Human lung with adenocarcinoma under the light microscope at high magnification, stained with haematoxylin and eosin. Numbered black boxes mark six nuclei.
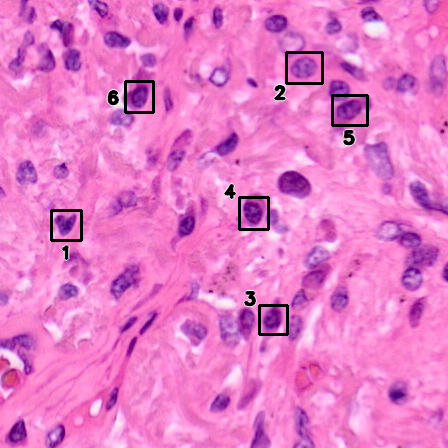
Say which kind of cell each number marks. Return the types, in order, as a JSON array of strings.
["lymphocyte", "mast cell", "plasma cell", "plasma cell", "plasma cell", "plasma cell"]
